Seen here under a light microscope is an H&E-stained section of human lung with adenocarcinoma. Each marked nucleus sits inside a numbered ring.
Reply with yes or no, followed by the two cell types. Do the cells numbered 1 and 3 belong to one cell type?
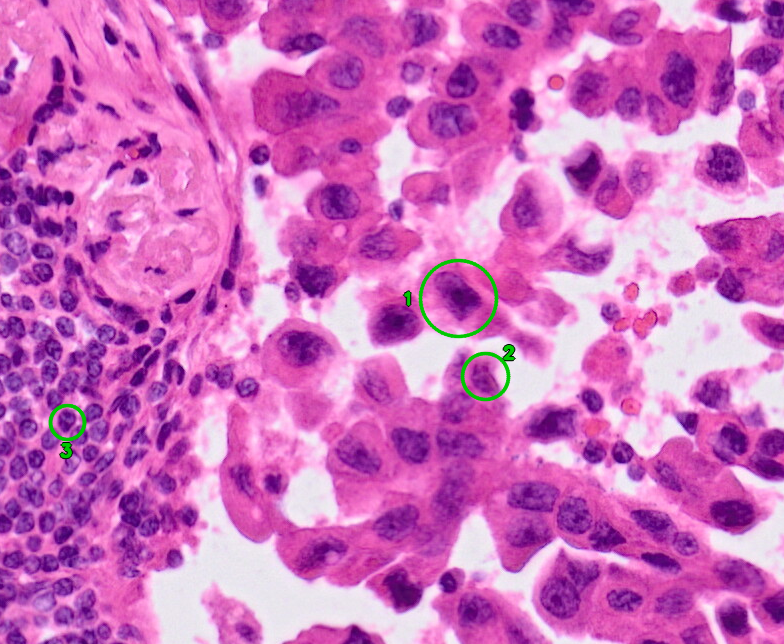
No, cell 3 is a lymphocyte, but cell 1 is a carcinoma cell.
